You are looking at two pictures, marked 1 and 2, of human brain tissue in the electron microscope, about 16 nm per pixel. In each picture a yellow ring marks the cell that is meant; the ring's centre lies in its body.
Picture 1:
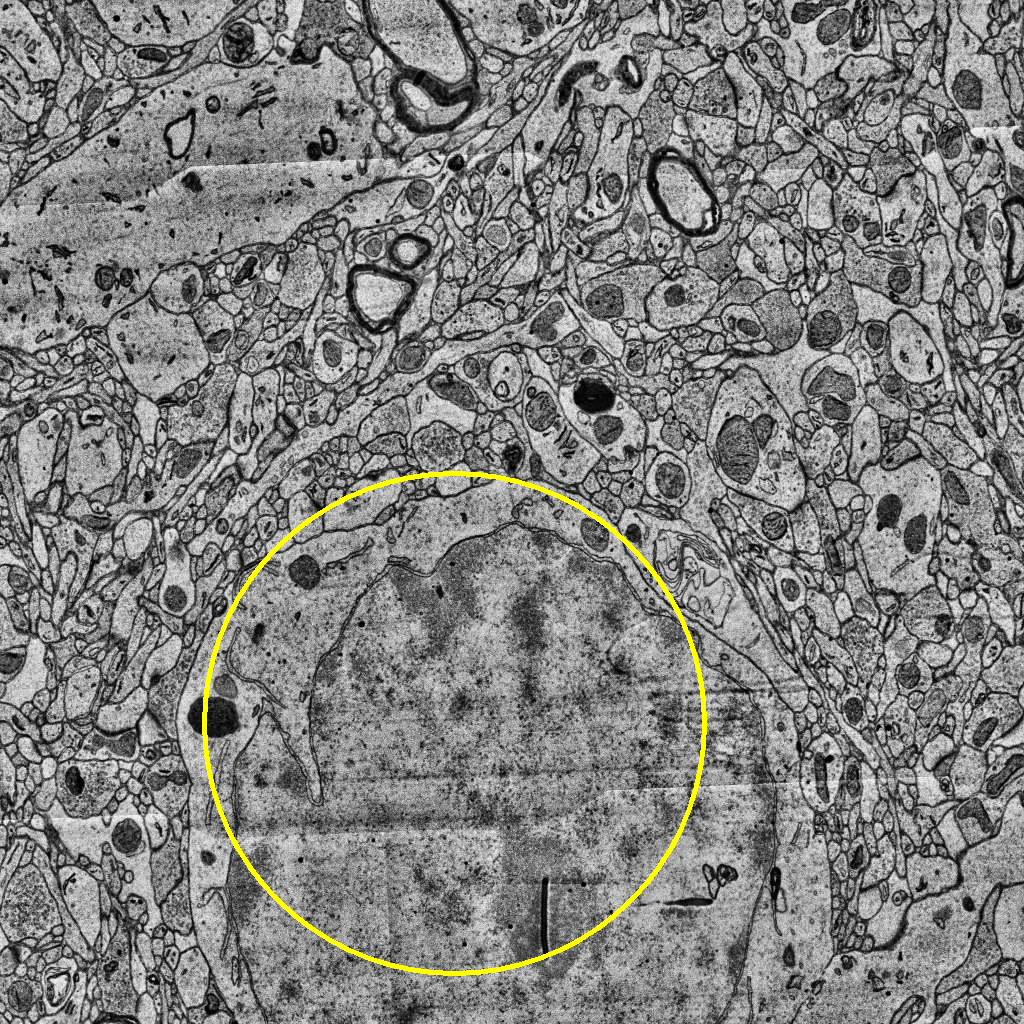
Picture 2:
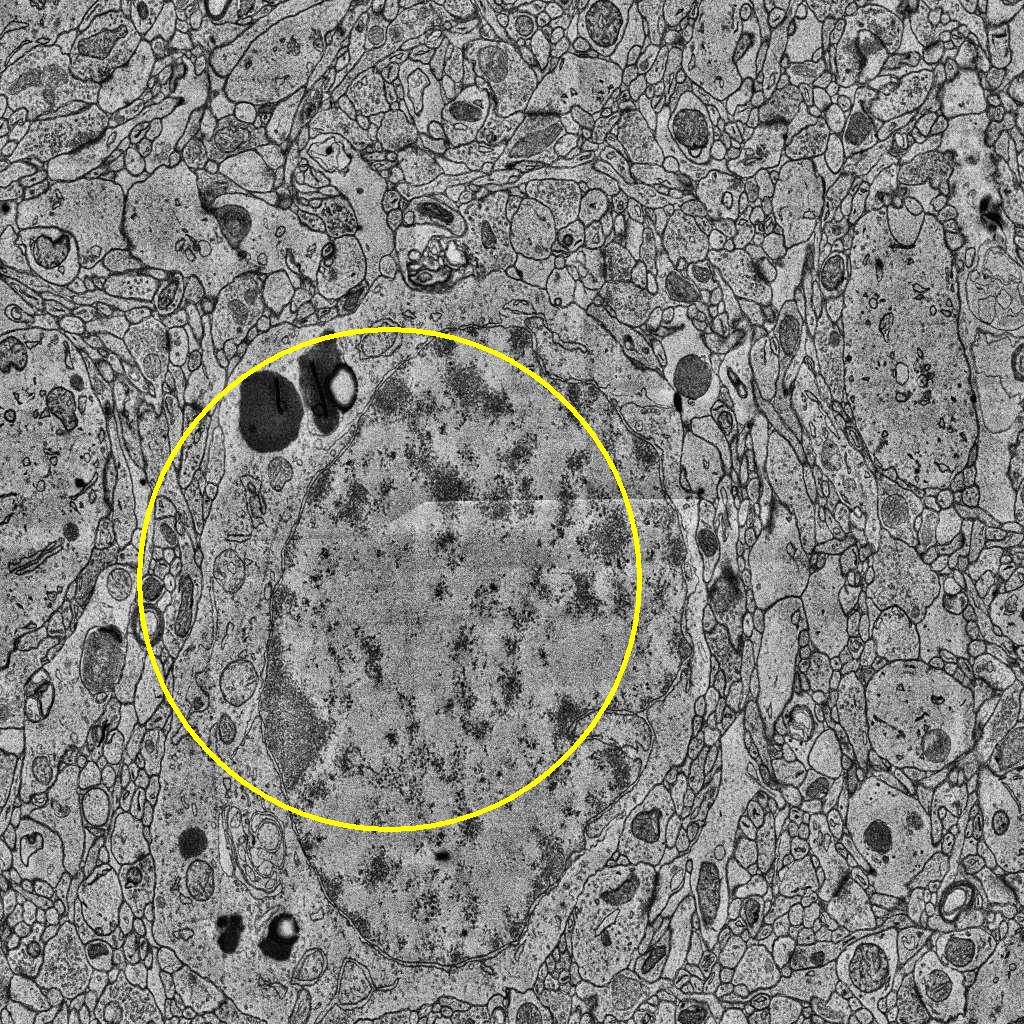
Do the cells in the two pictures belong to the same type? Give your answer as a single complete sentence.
Yes, both cells are interneurons.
